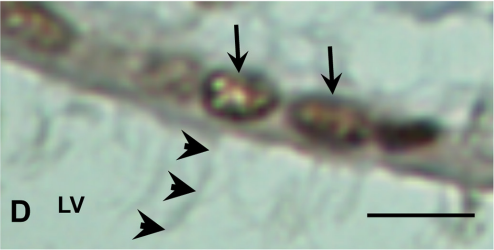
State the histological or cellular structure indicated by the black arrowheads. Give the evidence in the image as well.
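Fine faint hair-like projections extend from the cell layer into the lumen. The arrowheads point to these projections on the lumen side of the lining.
Cilia-like structures.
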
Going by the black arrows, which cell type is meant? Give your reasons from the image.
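Ependymal cells. The arrowed cells form a single thin layer lining the ventricle lumen. Their nuclei are elongated ovals lying parallel to the surface. The nuclei are stained brown.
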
